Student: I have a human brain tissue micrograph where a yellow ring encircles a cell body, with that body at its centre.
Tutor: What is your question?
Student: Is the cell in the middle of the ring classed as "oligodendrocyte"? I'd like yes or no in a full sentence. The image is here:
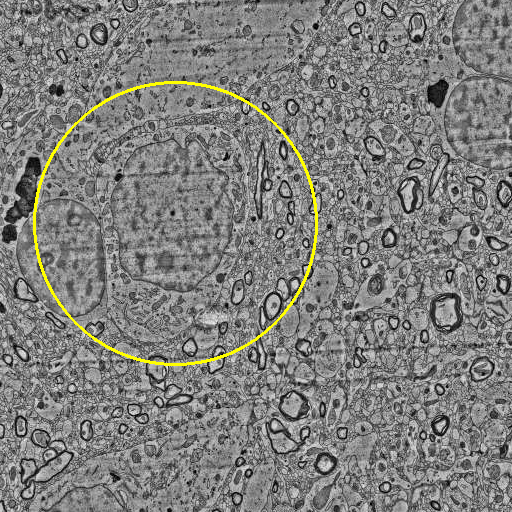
No, the ringed cell in the middle counts as another kind.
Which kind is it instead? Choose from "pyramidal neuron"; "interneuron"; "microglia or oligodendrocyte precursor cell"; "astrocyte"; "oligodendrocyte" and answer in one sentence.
Instead, the cell at the centre of the ring is an interneuron.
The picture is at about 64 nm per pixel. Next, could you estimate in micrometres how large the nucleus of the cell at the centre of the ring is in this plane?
The nucleus has a long axis of about 10 micrometres and a short axis of about 8 micrometres in this plane.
